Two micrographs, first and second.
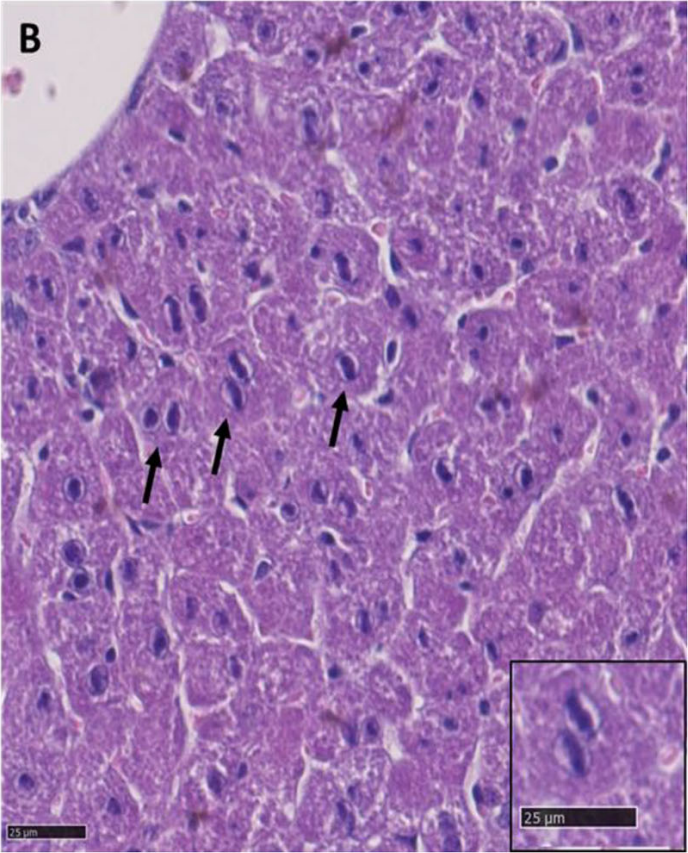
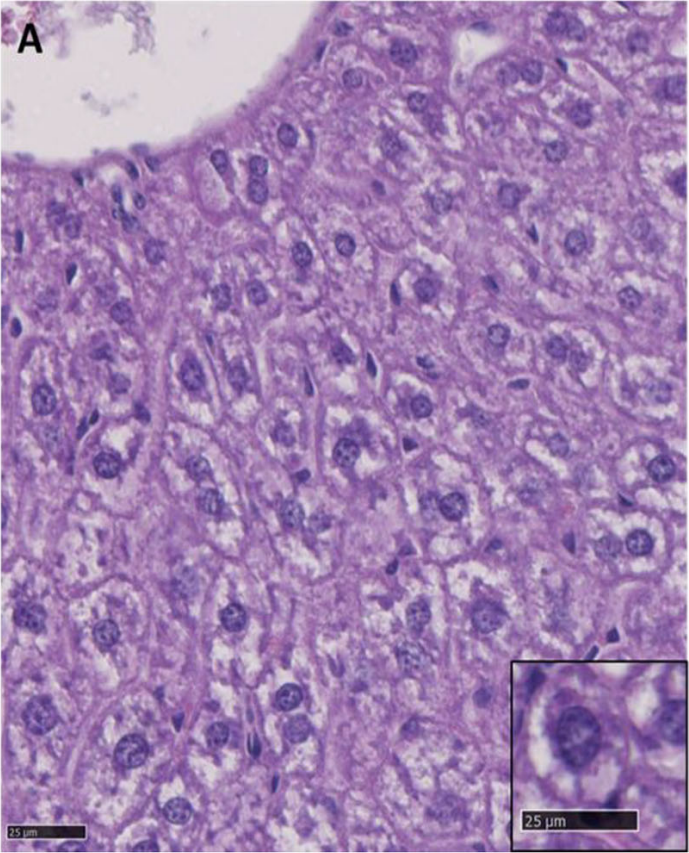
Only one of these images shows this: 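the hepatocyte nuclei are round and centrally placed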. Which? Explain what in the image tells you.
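First image: many nuclei are elongated, narrow and dark, with linear chromatin. Second image: nuclei are round with finely granular chromatin, centred in the cells.
Conclusion: the second image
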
